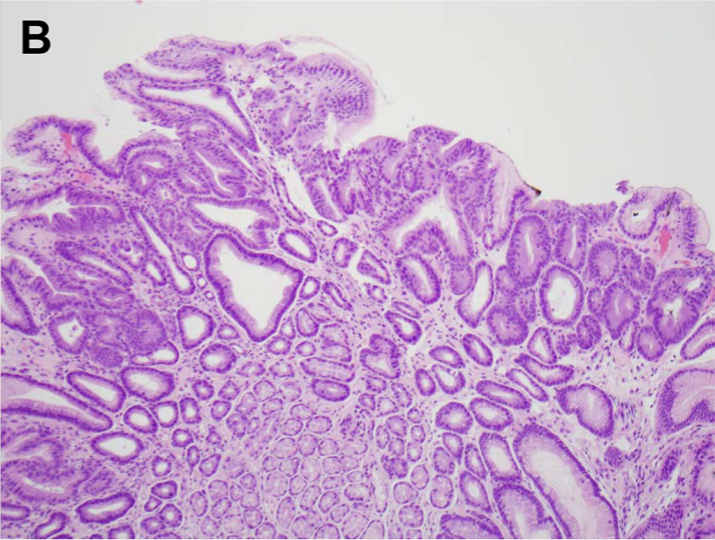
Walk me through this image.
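This is gastric mucosa involved by a tubular adenoma with low grade dysplasia, occupying the upper part of the mucosa. The dysplastic tubular glands are crowded together with little intervening stroma and are lined by tall columnar cells whose elongated nuclei are dark purple and hyperchromatic, stacked along the base of the cells. Beneath them lie smaller, rounded, paler-staining glands with regular, evenly spaced profiles, separated by pink stroma. Some of the dysplastic glands are dilated or branched, and the surface is irregular with villiform projections.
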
